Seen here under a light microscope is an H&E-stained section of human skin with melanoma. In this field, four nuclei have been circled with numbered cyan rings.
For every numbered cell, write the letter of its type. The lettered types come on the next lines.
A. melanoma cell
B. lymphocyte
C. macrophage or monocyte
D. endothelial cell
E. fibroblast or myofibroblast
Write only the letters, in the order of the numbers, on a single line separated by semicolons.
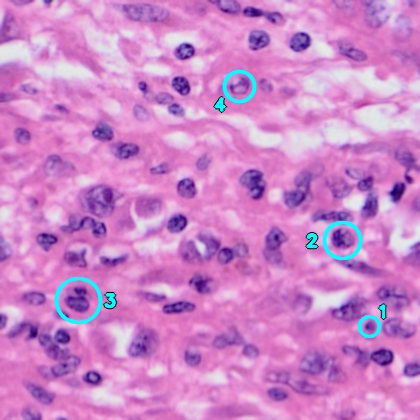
B; B; B; D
